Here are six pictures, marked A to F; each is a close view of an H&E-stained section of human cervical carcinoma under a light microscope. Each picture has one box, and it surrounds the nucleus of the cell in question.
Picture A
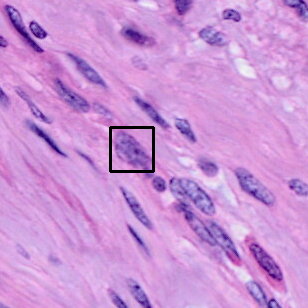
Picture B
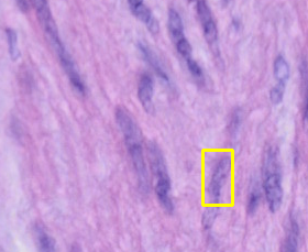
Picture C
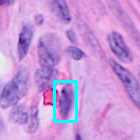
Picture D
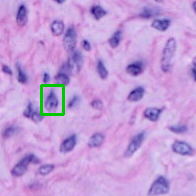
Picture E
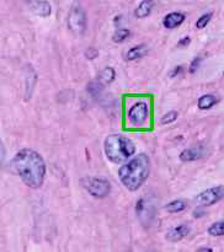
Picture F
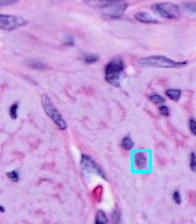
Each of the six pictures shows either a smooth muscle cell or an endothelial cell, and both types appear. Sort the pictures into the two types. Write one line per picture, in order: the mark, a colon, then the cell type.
A: endothelial cell
B: smooth muscle cell
C: endothelial cell
D: smooth muscle cell
E: smooth muscle cell
F: smooth muscle cell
